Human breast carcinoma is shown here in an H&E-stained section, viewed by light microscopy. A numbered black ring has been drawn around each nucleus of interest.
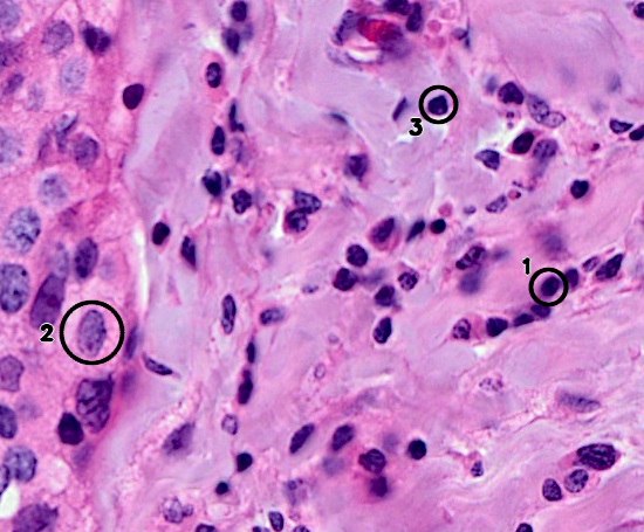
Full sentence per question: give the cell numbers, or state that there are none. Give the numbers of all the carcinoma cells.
Of the cells carrying numbers, just cell 2 is a carcinoma cell.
